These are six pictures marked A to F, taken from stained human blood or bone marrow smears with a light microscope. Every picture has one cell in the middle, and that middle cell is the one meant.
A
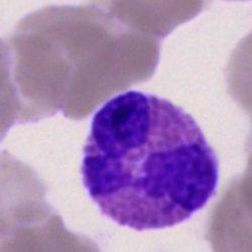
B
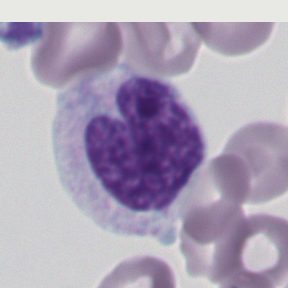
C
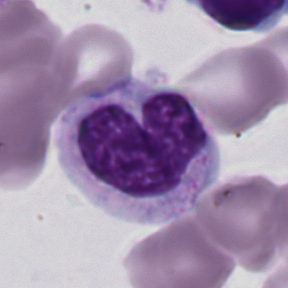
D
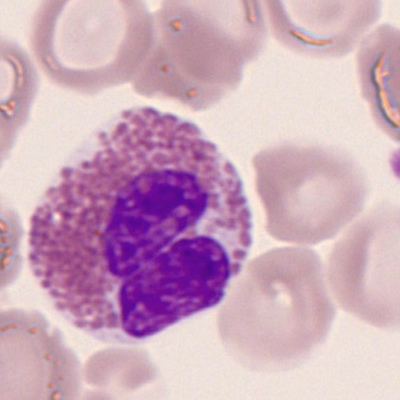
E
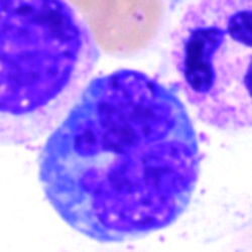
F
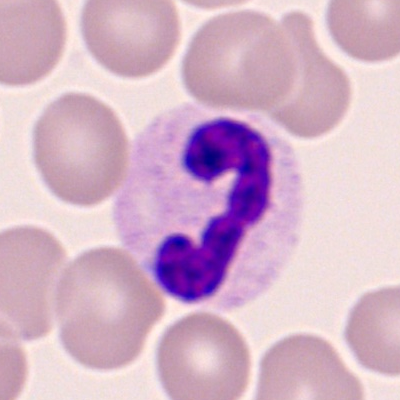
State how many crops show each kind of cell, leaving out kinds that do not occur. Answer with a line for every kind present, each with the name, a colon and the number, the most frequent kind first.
band neutrophil: 3
eosinophil: 2
monocyte: 1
